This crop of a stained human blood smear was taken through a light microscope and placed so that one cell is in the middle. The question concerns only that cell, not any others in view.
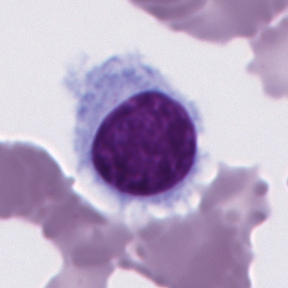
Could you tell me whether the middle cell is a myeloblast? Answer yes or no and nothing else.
no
